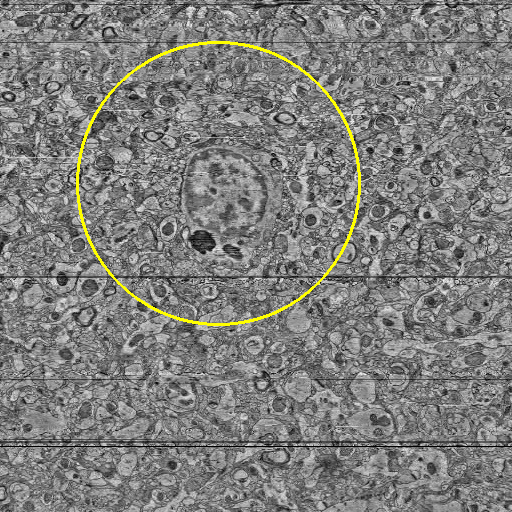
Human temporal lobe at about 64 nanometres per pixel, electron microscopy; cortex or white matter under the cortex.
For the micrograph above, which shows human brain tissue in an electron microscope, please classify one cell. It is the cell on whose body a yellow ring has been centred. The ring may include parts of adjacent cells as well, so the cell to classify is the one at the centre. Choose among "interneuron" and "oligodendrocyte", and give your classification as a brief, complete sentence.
I classify this cell as an oligodendrocyte.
